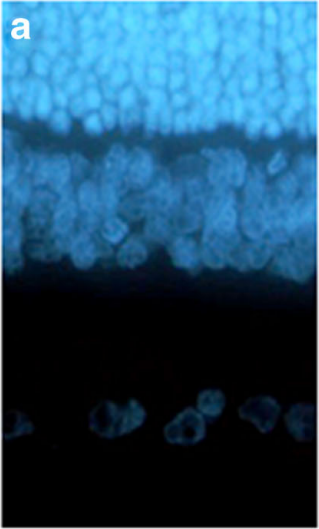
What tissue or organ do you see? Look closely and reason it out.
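A thick layer of densely packed small nuclei at the top. A thin nucleus-free band separates it from a second nuclear layer. A wide nucleus-free band lies above a single row of scattered larger nuclei.
Hence: retina.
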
